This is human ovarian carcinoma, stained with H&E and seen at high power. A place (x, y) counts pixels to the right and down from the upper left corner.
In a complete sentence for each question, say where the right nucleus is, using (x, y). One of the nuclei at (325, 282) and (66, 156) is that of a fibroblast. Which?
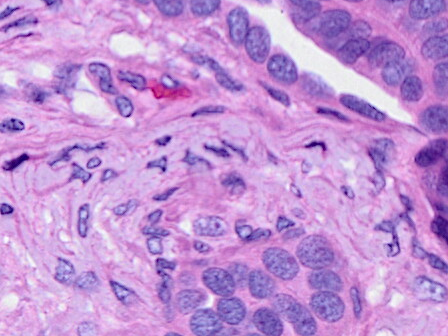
The nucleus at (66, 156) is identified as belonging to a fibroblast.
